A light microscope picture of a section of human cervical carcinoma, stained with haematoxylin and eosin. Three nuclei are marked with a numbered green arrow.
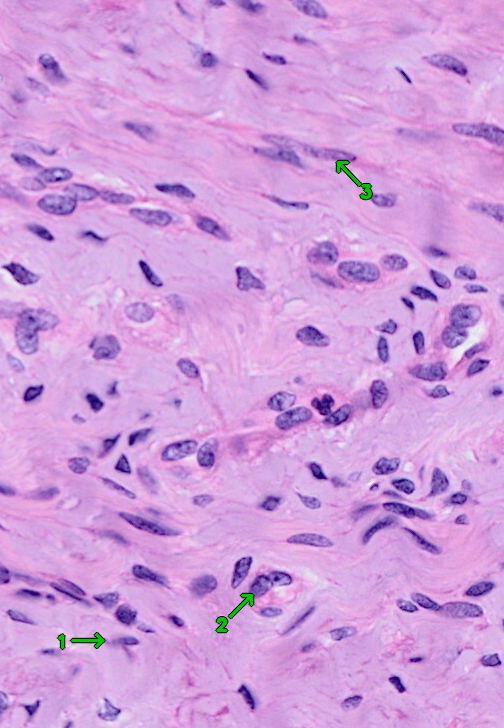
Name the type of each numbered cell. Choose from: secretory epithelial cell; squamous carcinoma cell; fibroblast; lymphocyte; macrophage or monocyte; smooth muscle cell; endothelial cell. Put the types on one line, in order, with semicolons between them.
fibroblast; endothelial cell; smooth muscle cell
